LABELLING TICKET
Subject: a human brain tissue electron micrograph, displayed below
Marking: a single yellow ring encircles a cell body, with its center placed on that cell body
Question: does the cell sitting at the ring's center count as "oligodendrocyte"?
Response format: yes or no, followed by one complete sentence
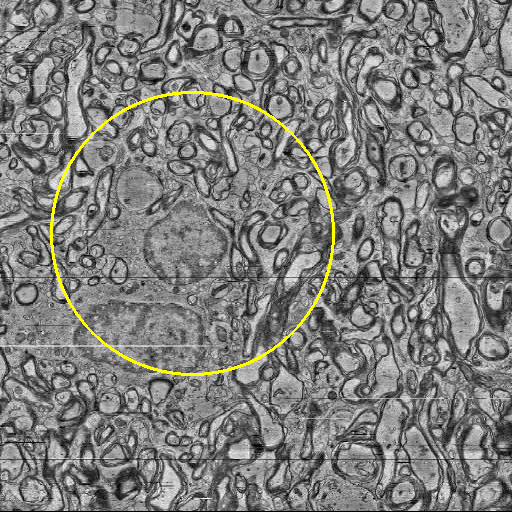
Yes, the cell at the center of the ring in the picture is of that kind.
